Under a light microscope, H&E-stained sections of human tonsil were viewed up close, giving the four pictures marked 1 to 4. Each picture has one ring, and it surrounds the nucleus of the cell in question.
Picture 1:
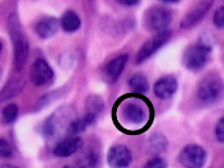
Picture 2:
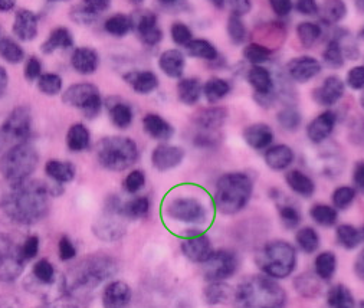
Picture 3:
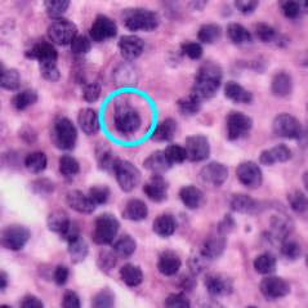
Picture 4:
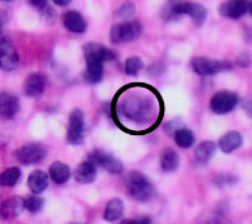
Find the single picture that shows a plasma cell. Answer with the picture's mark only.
1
